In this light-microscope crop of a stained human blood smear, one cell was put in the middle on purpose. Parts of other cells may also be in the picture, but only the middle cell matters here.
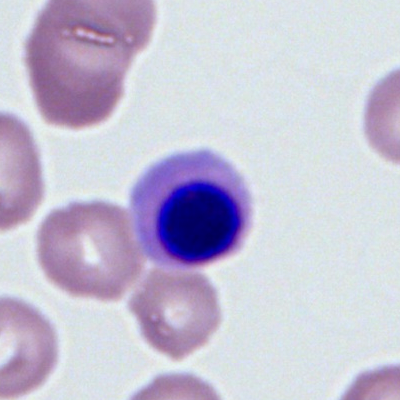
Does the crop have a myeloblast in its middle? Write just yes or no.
no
